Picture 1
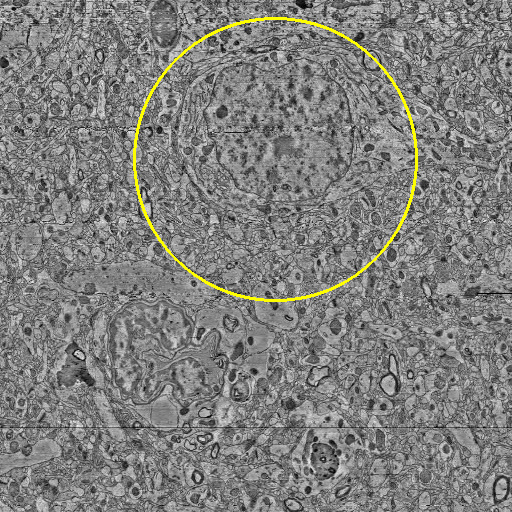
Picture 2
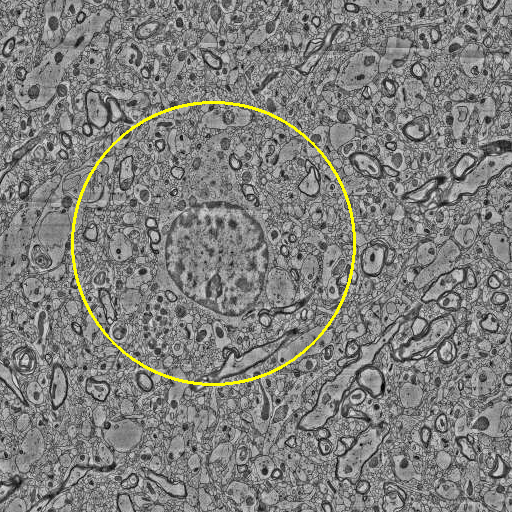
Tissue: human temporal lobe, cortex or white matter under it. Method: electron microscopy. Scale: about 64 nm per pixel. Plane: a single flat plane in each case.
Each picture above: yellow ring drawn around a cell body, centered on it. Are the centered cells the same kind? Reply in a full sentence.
No, the two cells are two kinds of cell.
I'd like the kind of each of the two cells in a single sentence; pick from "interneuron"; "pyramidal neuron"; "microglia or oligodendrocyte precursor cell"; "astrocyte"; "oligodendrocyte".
The first ring marks an interneuron, and the second ring marks an oligodendrocyte.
